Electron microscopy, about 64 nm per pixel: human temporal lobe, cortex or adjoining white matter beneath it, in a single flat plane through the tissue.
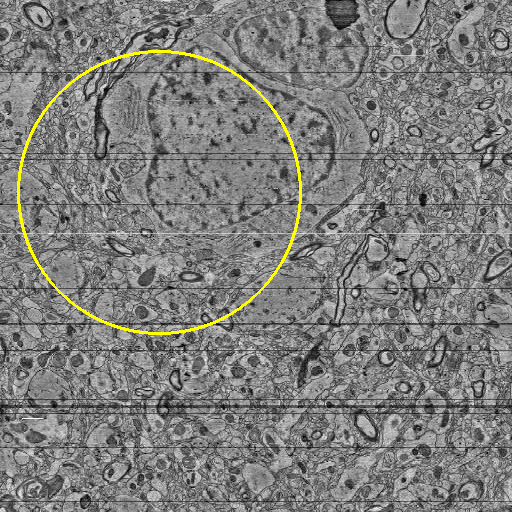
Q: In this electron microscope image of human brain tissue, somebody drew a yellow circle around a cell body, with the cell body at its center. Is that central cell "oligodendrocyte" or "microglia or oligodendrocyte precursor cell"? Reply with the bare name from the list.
microglia or oligodendrocyte precursor cell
